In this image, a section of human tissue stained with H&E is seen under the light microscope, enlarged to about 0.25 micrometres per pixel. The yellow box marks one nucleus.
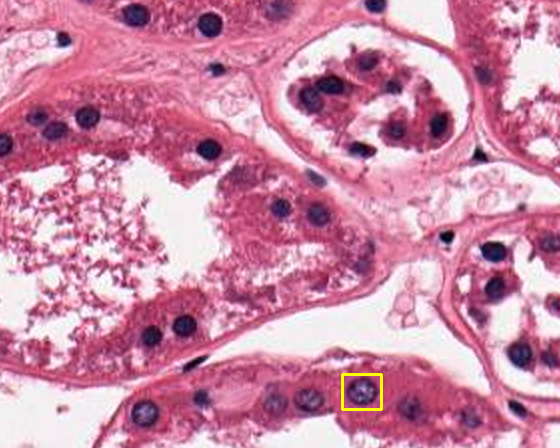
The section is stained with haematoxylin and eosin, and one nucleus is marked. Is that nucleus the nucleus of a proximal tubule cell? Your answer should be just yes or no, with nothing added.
yes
